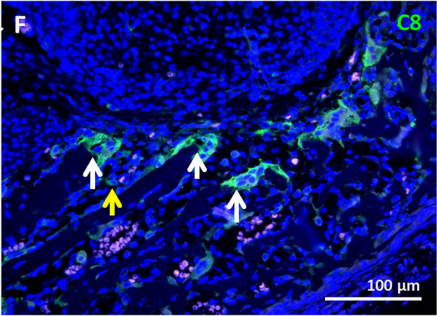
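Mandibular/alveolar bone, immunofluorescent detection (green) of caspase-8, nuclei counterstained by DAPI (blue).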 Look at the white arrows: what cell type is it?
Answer: Osteoclasts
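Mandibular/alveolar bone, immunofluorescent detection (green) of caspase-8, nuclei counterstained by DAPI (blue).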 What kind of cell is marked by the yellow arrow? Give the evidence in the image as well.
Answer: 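Osteoblasts. The arrowed cell is small with a single nucleus. It lies along a bone trabecula surface.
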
